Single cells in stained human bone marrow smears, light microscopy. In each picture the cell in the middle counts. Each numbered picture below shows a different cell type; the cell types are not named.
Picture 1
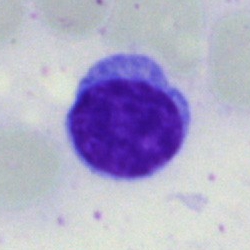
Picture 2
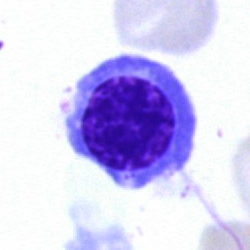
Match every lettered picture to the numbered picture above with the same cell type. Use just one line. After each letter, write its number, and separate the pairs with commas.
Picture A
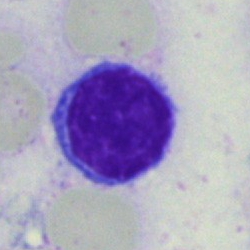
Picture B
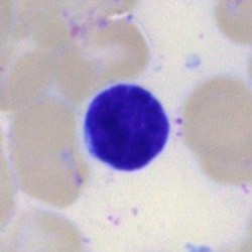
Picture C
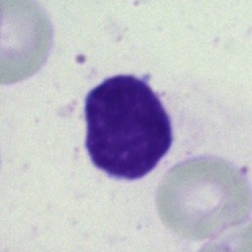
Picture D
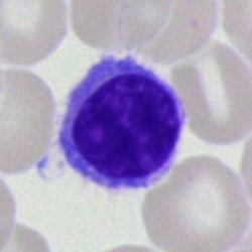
A 1, B 1, C 1, D 1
